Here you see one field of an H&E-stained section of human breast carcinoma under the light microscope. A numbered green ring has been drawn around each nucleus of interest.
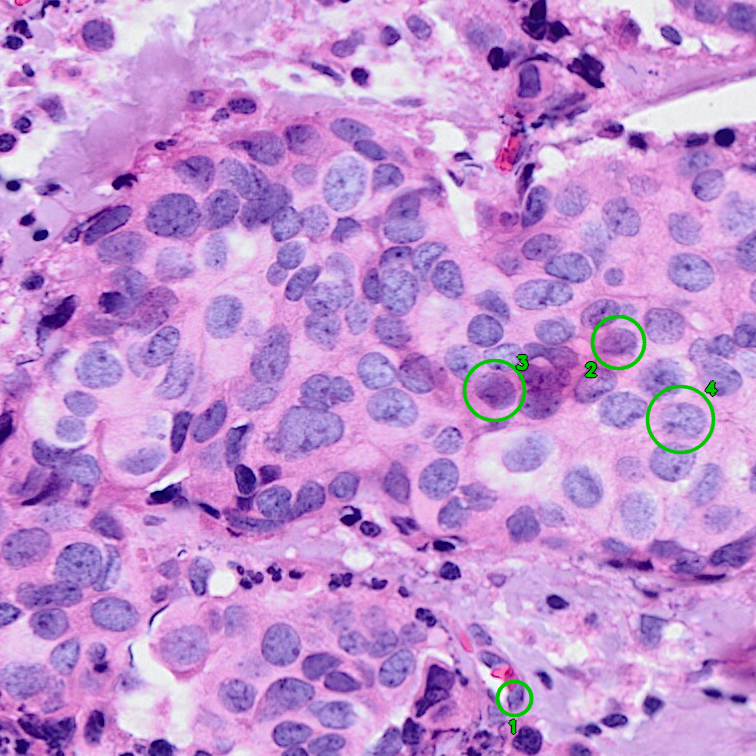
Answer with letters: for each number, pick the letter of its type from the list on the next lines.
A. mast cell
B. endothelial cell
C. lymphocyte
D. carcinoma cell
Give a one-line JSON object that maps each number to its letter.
{"1": "B", "2": "D", "3": "D", "4": "D"}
